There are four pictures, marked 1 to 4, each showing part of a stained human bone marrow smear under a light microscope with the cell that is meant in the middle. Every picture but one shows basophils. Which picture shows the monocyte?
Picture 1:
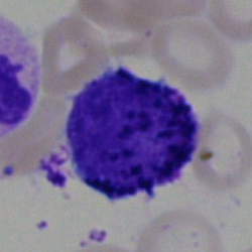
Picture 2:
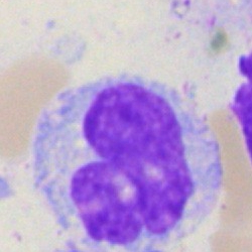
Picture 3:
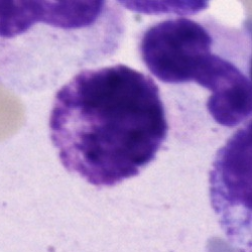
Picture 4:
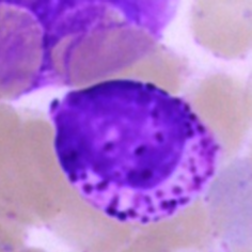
2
